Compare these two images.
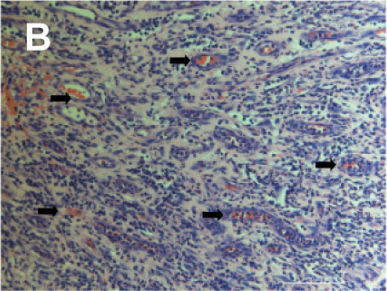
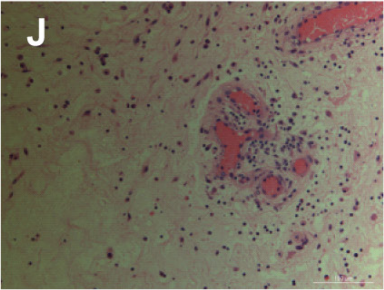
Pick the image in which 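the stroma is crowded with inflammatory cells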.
The first image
